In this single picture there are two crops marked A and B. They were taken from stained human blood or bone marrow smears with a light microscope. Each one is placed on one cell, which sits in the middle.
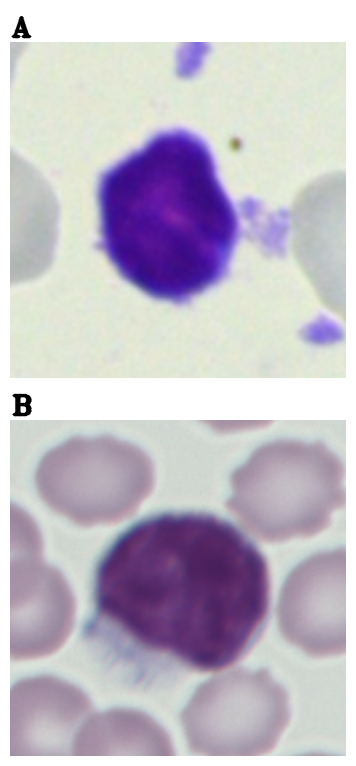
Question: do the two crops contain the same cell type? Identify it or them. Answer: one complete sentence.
Yes, the cells that both crops show at the centre are lymphocytes.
